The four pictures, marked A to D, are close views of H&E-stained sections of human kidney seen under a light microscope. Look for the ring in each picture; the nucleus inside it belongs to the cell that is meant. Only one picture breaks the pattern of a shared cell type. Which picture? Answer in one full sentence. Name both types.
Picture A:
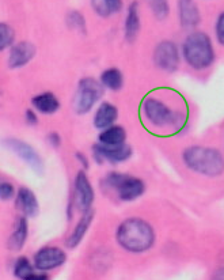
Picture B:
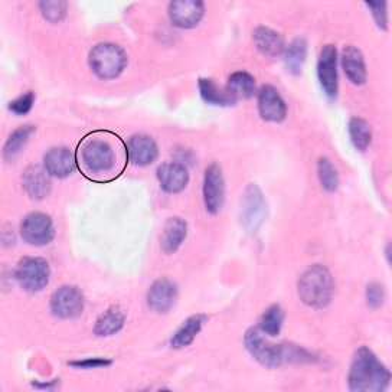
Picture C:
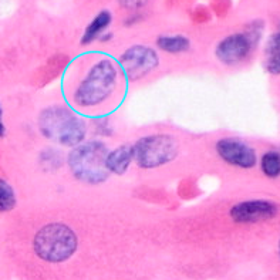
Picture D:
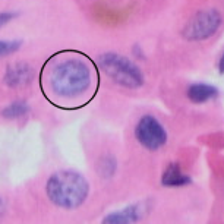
The others show collecting duct cells, but picture D shows a “loop of Henle or distal tubule cell”.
